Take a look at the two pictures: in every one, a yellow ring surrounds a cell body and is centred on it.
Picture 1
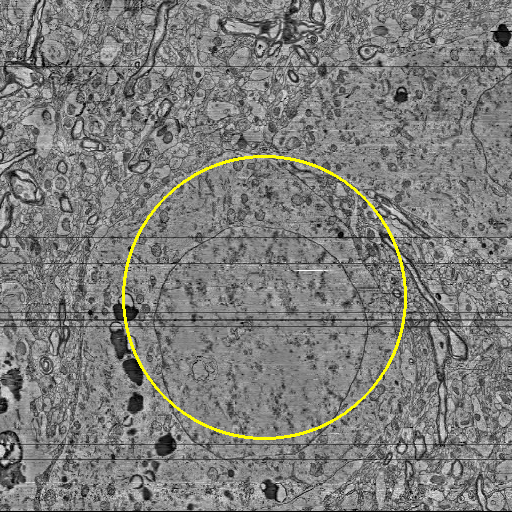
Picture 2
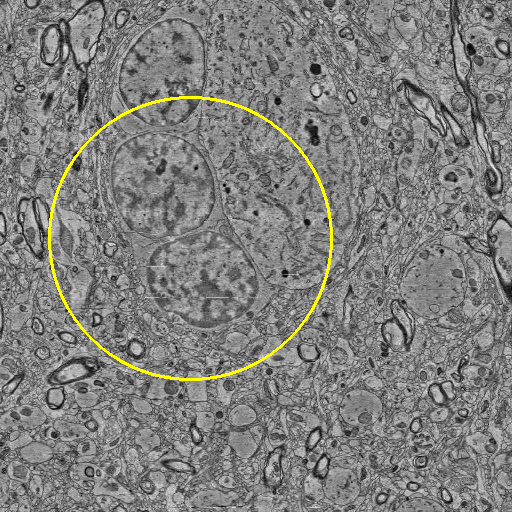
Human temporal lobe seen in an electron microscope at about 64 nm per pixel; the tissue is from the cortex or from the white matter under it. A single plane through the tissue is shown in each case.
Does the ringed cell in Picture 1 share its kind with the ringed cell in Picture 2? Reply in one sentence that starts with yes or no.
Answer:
No, the two centred cells, one per picture, are of two kinds.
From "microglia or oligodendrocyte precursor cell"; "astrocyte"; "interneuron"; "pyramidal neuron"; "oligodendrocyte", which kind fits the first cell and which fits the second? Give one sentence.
The cell marked in the first picture is a pyramidal neuron, and the one marked in the second is an oligodendrocyte.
